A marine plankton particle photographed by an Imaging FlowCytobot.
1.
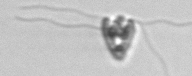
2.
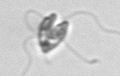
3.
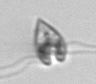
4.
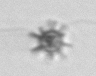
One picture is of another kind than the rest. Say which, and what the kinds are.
Picture 4 shows Rhabdosphaera; the rest show Pyramimonas.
